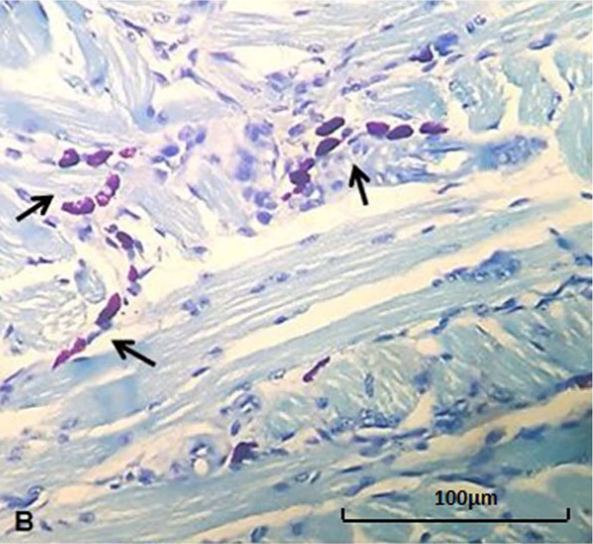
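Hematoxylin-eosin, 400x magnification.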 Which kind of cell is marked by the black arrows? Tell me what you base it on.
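They lie in small clusters in the connective tissue between muscle fibres.
Mast cells.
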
